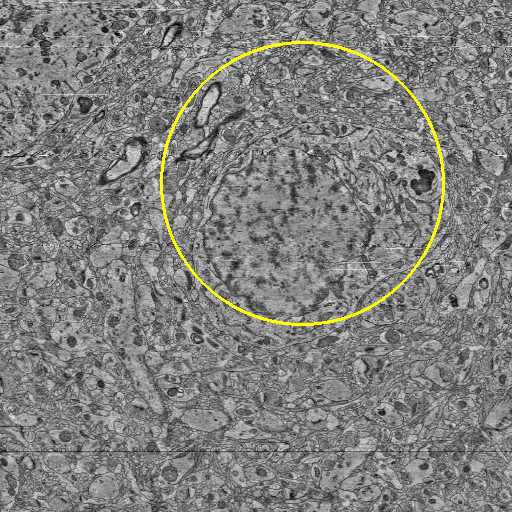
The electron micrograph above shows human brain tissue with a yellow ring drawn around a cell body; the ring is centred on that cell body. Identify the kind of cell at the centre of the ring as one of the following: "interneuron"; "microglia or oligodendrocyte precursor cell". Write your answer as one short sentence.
The cell at the centre of the ring is an interneuron.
